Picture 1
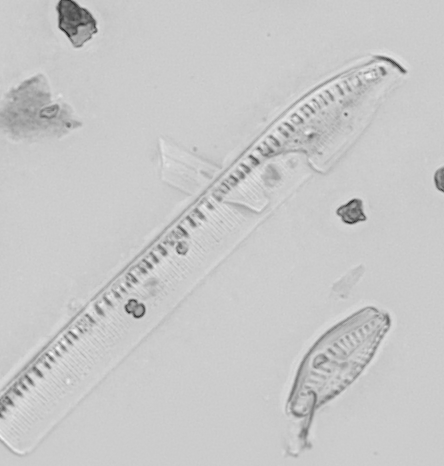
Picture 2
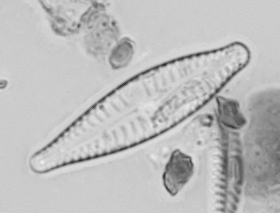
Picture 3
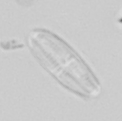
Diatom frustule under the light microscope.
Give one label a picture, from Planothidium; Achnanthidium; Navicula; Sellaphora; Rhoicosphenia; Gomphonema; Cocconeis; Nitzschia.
(1) Nitzschia
(2) Gomphonema
(3) Sellaphora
